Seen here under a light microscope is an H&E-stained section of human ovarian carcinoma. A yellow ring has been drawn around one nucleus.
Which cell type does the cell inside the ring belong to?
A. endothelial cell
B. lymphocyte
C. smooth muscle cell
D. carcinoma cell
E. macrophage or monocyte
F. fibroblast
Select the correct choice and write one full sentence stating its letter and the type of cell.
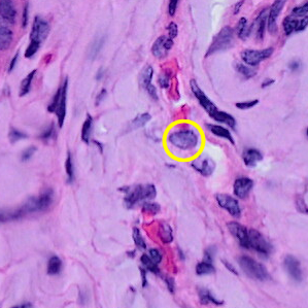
In keeping with option A, the cell inside the ring is an endothelial cell.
